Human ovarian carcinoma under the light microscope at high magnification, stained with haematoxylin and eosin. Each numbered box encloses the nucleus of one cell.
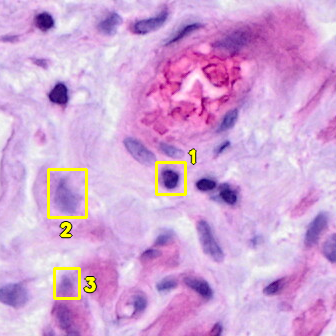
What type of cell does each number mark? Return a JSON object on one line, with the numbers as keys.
{"1": "lymphocyte", "2": "fibroblast", "3": "smooth muscle cell"}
